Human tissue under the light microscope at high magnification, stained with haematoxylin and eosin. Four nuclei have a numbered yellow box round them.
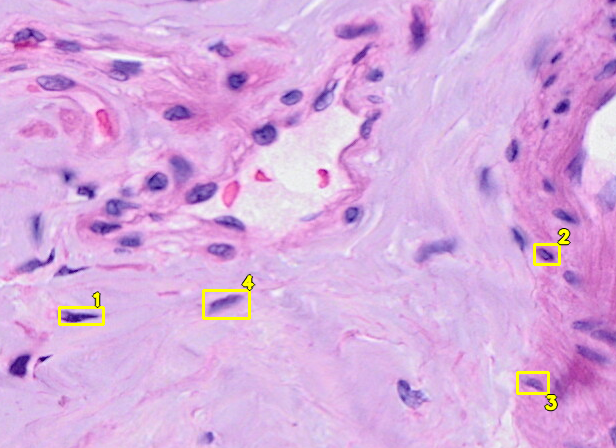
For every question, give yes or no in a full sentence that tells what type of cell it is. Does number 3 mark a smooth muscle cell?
Yes, the cell that bears number 3 is a smooth muscle cell.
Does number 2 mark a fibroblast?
No, sorry, the cell labelled 2 is not a fibroblast; it is a smooth muscle cell.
